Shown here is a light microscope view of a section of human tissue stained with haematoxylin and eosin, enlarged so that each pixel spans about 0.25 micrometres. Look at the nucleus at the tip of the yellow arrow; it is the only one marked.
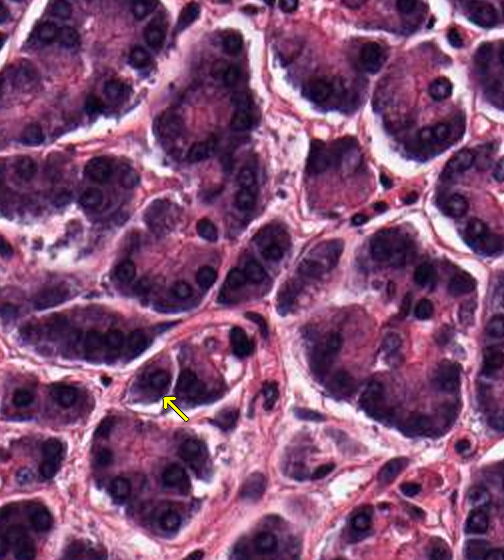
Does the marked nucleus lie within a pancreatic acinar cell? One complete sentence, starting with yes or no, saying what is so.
Yes, the marked nucleus is that of a pancreatic acinar cell in this section.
